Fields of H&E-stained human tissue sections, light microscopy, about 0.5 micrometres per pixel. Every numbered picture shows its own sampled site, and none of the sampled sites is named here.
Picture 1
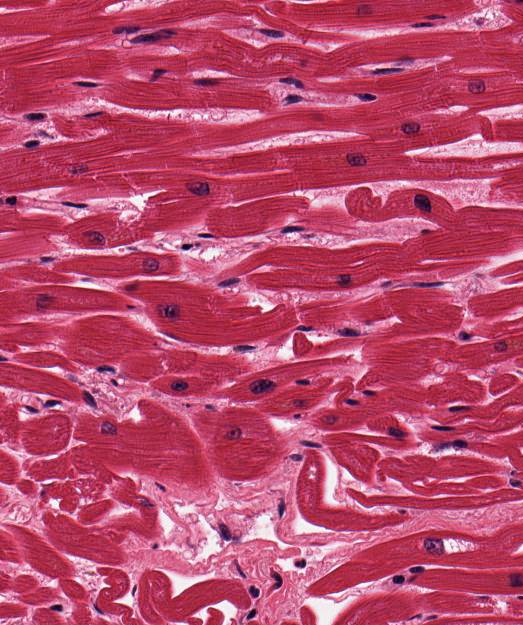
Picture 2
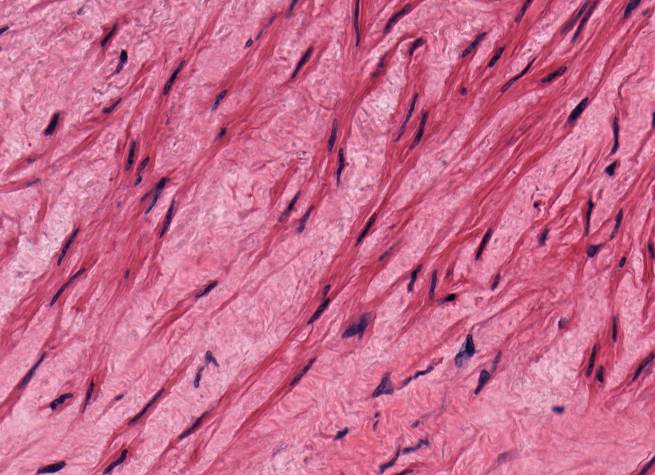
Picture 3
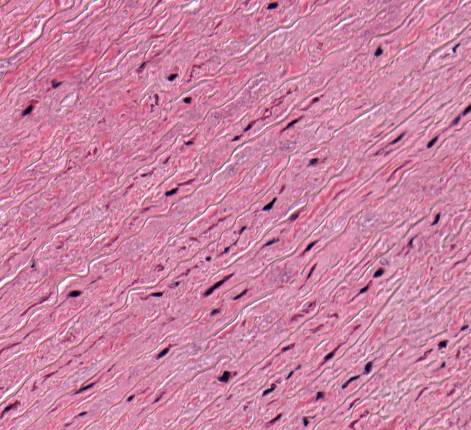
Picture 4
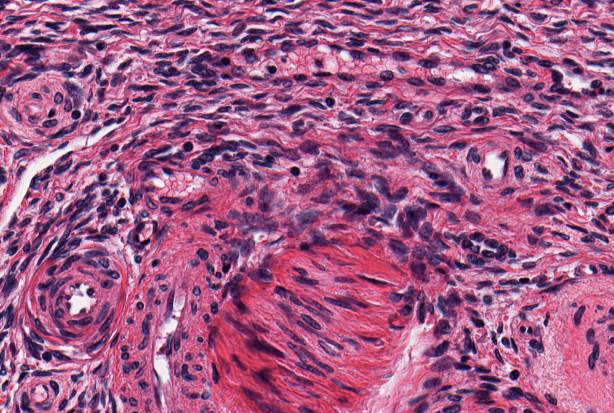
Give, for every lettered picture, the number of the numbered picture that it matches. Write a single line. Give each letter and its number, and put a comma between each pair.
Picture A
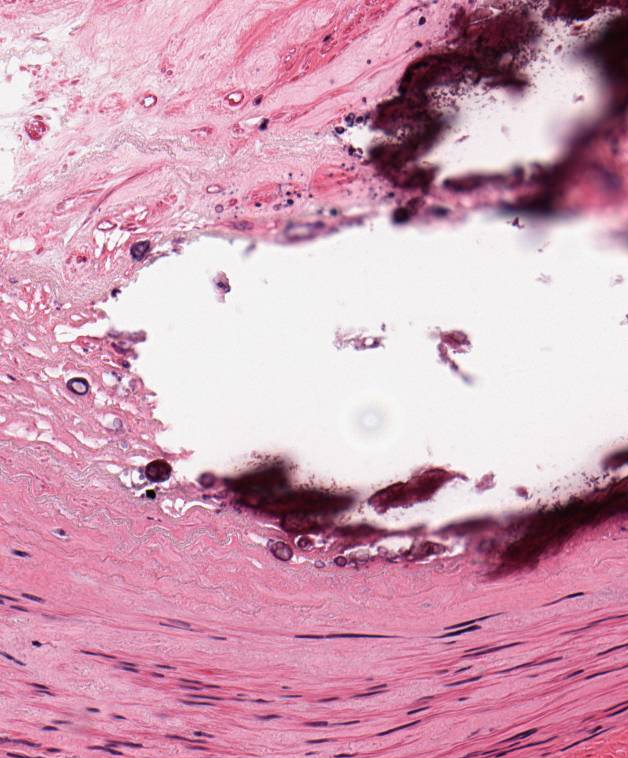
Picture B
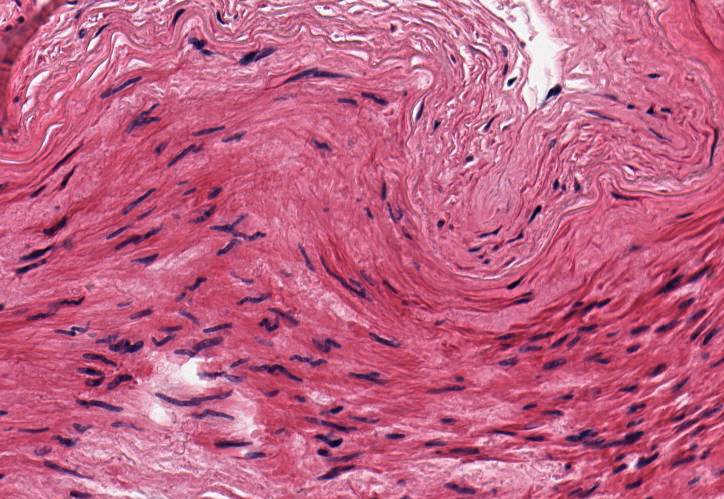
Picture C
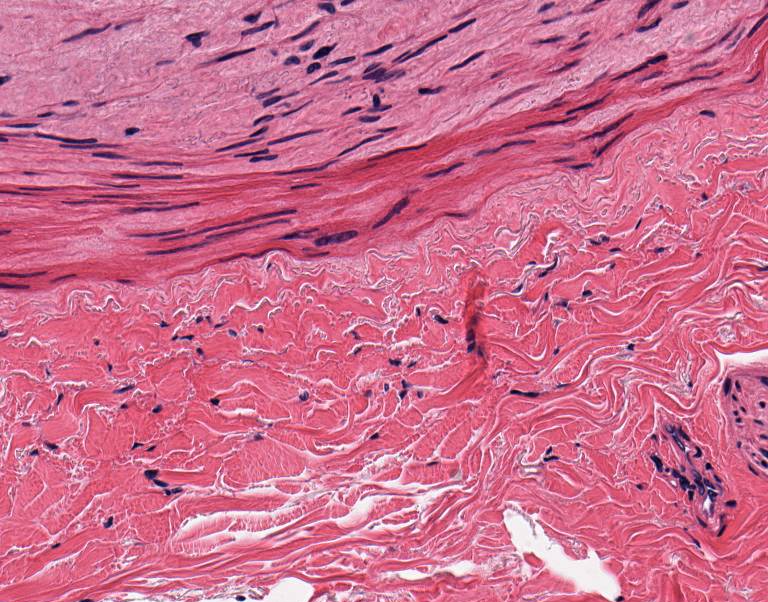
A 2, B 2, C 2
